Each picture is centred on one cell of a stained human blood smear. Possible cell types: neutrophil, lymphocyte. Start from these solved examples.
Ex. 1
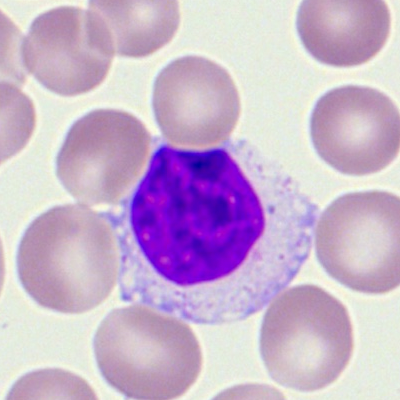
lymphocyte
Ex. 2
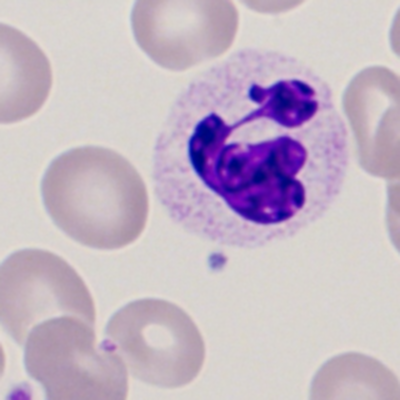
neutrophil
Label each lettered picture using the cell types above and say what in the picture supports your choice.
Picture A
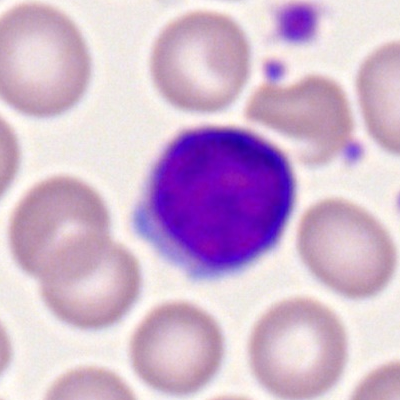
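lymphocyte: The cytoplasm is a scant pale blue rim, seen mostly at the lower left of the nucleus.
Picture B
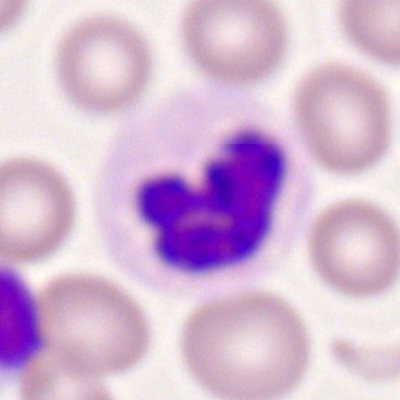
neutrophil: The nucleus is divided into several lobes.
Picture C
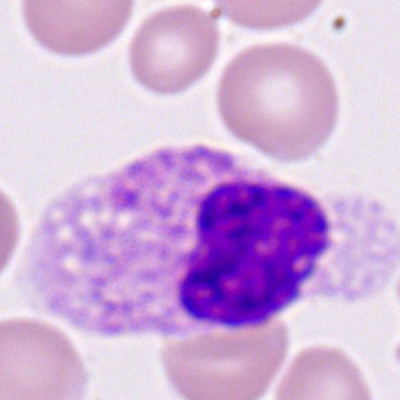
neutrophil: The cytoplasm is abundant and pale lilac.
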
